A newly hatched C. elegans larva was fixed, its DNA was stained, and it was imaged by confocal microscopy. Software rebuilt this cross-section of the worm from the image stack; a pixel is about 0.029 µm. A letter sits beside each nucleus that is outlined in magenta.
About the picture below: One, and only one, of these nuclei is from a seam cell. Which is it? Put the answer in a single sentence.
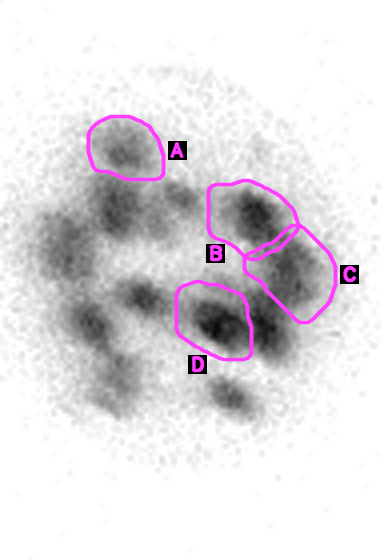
Of the marked nuclei, C is the one in a seam cell.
